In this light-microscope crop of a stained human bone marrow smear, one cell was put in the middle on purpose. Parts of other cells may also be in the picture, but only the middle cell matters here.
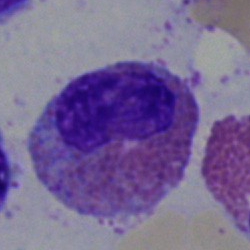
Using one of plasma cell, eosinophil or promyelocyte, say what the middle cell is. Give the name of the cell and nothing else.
eosinophil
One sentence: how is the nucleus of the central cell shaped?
One compact mass makes up the whole nucleus, round, oval or kidney-shaped.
